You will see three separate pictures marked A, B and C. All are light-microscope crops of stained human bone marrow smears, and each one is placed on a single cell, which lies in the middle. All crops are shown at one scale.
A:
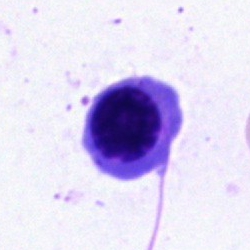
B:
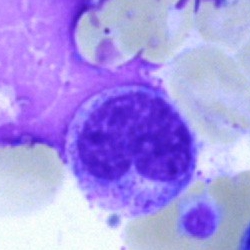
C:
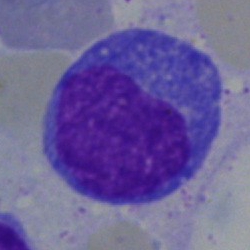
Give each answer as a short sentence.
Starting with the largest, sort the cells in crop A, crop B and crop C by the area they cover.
The order is C, B, A, beginning with the largest.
